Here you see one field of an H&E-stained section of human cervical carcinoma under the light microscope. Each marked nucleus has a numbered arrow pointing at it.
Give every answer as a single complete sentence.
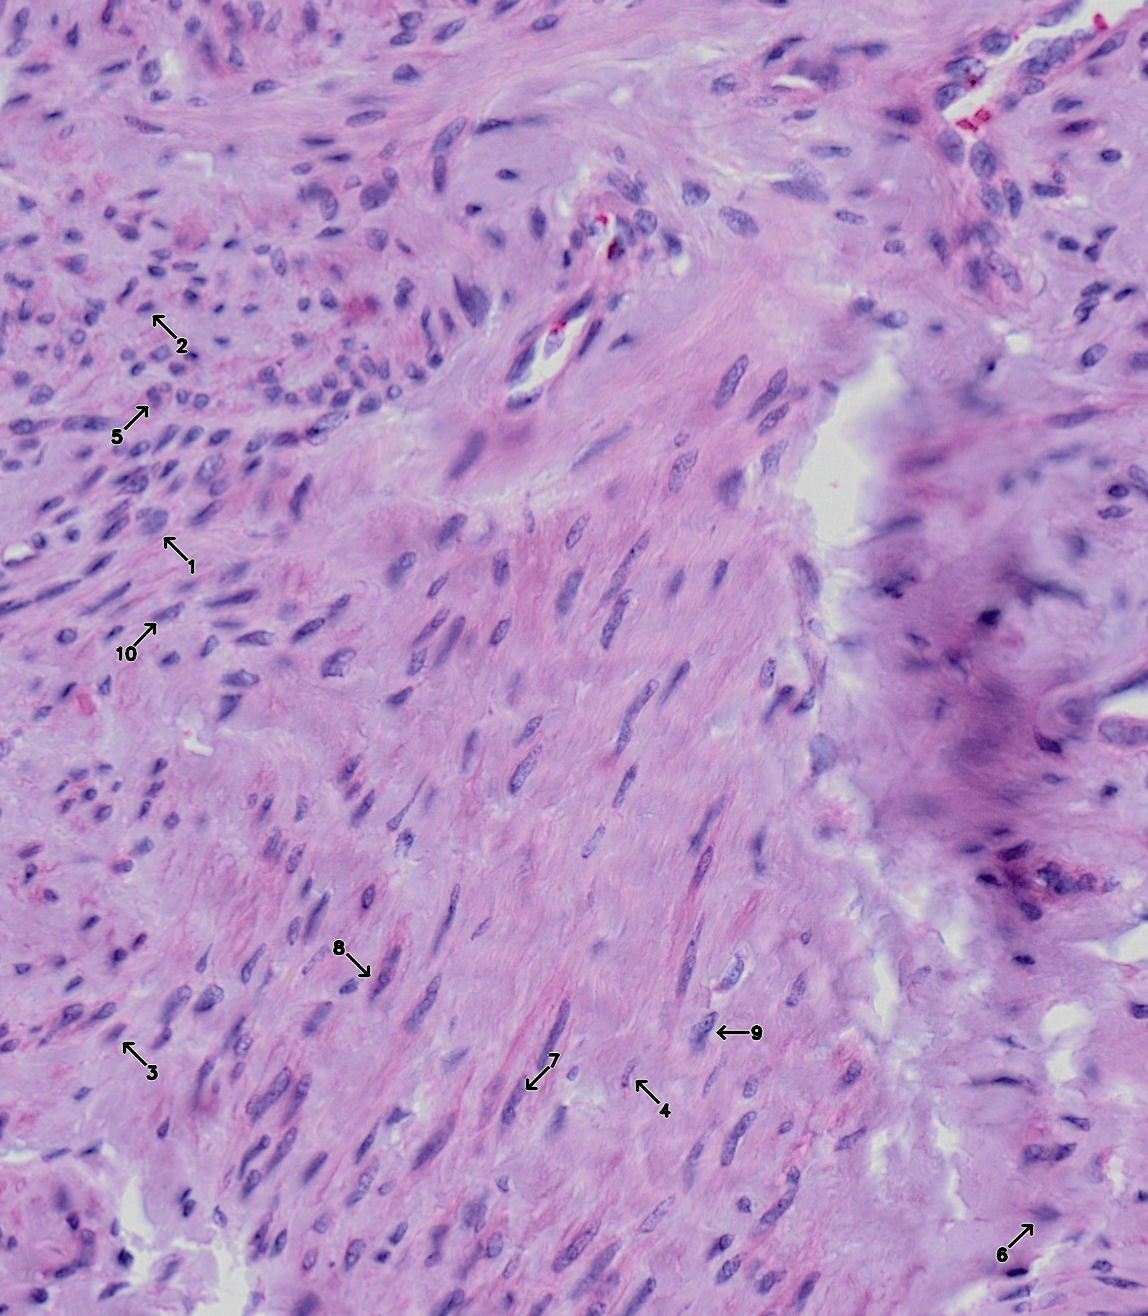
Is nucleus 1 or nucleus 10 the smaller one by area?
Nucleus 10 is the smaller one; nucleus 1 covers about 2 times its area.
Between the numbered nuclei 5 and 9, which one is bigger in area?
Nucleus 9 is larger, with an area about 2.5 times that of nucleus 5.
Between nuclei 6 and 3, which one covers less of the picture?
It is nucleus 3; nucleus 6 has about 2.5 times its area.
